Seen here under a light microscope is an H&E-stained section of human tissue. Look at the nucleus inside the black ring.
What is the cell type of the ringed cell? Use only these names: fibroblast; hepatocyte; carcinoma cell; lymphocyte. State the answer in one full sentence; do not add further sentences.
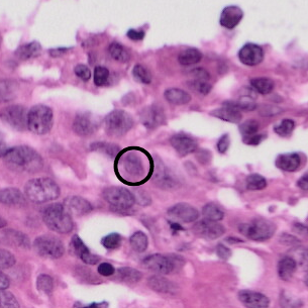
The expected answer is simply that the ringed cell is a carcinoma cell.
